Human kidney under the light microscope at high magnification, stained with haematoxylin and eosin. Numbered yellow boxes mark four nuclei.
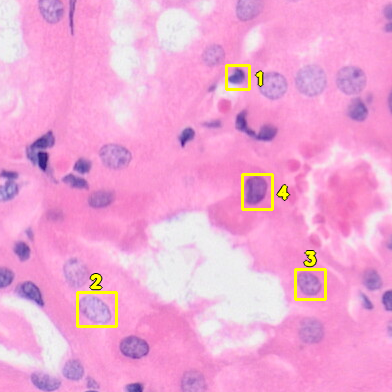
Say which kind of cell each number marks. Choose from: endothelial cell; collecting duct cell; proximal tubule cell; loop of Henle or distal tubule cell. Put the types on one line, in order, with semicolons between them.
endothelial cell; proximal tubule cell; proximal tubule cell; proximal tubule cell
